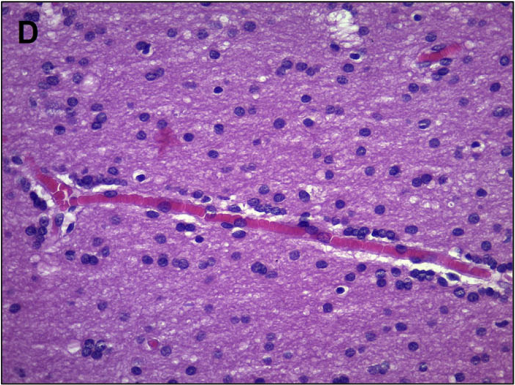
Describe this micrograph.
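White matter tissue with pink fibrillar neuropil contains a long, thin vessel running across the field, its lumen filled with red blood cells. Numerous small glial cells with round, dark blue nuclei line the vessel along its length in the perivascular space. Many further glial nuclei, round and dark, some with perinuclear clearing, are scattered densely through the surrounding tissue. A few clear vacuoles and a small oblique vessel with red blood cells appear in the upper part of the field.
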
